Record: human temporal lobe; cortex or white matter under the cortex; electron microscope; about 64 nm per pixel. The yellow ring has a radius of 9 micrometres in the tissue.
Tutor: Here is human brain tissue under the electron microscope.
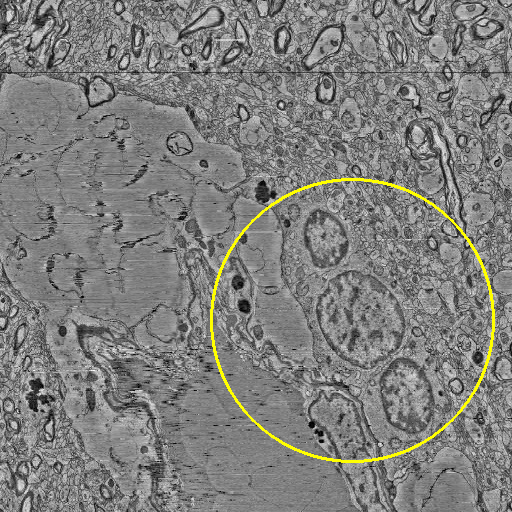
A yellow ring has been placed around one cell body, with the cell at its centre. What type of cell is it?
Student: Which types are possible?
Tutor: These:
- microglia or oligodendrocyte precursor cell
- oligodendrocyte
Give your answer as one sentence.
What the ring picks out here is an oligodendrocyte.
